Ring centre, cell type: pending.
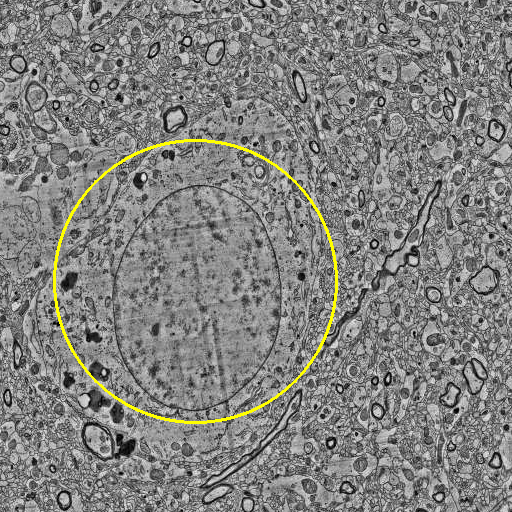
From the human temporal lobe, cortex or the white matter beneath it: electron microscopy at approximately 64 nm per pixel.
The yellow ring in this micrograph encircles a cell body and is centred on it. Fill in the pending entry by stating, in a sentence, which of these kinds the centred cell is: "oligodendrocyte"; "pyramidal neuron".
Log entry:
The centred cell is recorded as a pyramidal neuron.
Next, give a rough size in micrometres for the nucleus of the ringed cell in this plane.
Approximately 15 by 11 micrometers in this plane.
